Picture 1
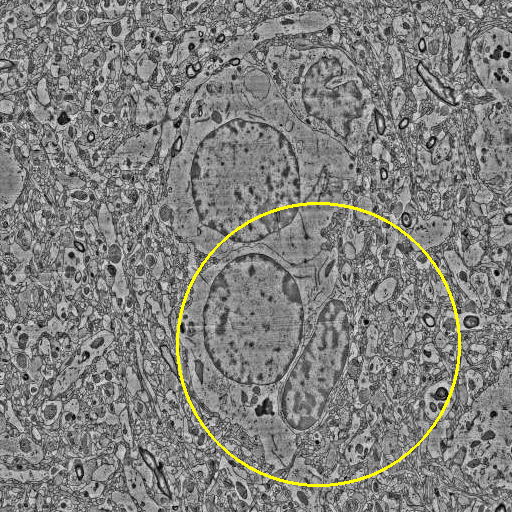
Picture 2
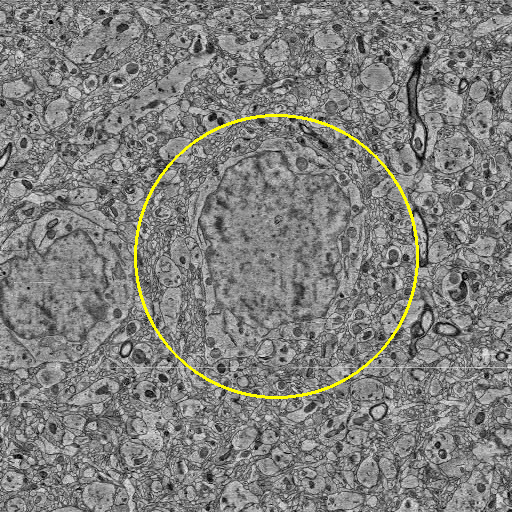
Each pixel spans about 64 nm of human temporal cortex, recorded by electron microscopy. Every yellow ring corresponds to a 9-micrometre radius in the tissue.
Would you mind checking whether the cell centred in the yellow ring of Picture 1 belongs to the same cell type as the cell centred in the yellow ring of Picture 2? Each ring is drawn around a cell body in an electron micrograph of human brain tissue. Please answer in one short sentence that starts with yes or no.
No, the two cells are of two types.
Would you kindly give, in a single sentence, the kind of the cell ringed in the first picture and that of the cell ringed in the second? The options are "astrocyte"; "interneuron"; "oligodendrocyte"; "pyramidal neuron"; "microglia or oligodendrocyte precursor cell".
The second cell is an interneuron, and the first cell is a microglial cell or oligodendrocyte precursor cell.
